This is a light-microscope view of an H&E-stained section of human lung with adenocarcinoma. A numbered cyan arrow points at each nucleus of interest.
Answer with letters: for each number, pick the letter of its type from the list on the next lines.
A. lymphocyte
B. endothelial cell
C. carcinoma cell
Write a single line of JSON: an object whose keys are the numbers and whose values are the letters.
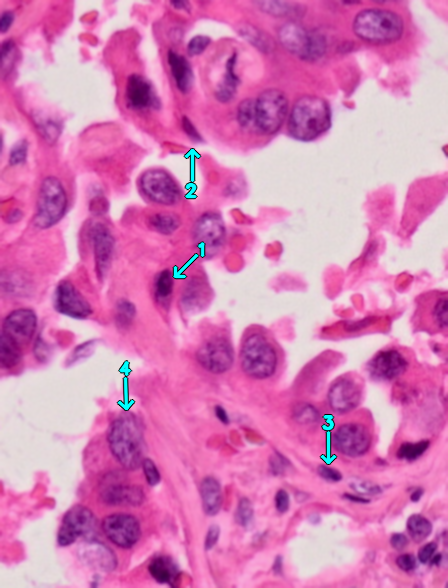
{"1": "C", "2": "C", "3": "A", "4": "C"}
